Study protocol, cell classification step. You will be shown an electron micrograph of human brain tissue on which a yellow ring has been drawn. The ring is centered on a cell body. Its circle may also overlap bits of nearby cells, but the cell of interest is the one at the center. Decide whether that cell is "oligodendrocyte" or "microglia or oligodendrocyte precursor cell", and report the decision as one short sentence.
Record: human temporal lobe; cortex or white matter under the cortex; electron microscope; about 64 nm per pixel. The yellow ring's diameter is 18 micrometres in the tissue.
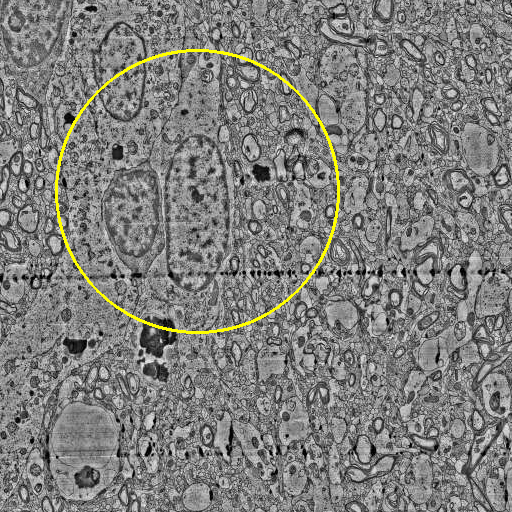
The marked cell is a microglial cell or oligodendrocyte precursor cell.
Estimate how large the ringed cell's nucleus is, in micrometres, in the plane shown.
Roughly 10 by 4 micrometres; in this plane, clearly longer than it is wide.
